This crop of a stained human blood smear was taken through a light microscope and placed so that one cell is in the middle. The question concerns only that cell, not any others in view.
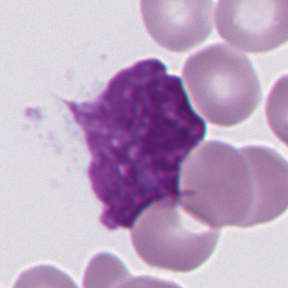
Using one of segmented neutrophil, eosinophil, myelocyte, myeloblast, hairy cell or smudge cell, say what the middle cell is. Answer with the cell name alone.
smudge cell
